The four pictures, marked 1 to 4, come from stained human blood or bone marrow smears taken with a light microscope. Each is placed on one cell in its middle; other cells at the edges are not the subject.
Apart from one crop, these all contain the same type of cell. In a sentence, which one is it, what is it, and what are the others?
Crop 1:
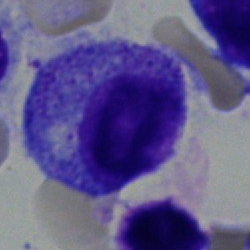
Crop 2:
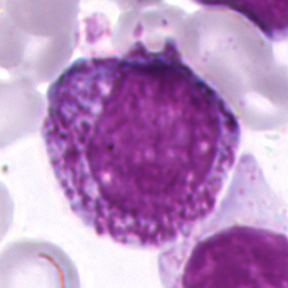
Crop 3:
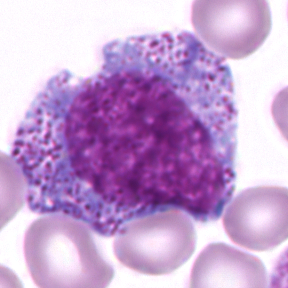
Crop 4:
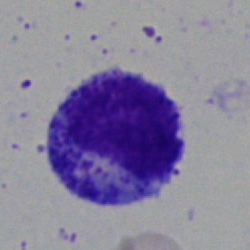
In contrast to the other crops, all of which show promyelocytes, crop 1 shows a myelocyte.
